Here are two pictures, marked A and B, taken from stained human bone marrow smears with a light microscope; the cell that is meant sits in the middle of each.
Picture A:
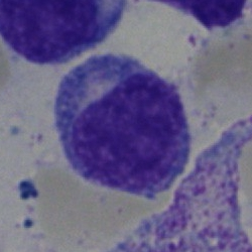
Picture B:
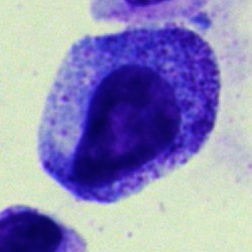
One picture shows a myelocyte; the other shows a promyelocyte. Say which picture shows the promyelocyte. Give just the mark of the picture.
B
